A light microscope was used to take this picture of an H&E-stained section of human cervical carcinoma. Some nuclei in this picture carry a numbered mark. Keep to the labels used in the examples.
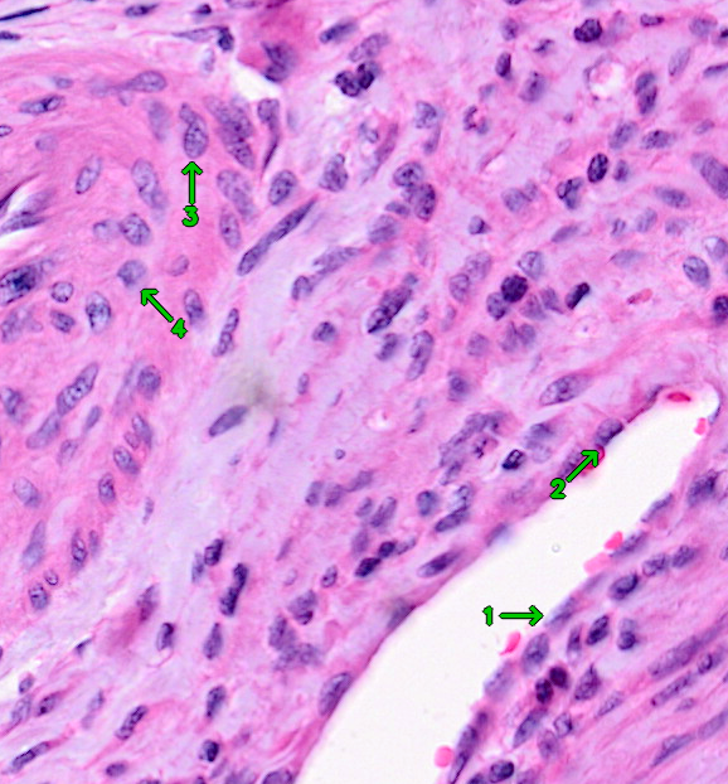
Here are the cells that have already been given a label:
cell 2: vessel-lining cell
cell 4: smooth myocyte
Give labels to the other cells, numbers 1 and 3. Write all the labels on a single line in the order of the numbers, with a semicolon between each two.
vessel-lining cell; smooth myocyte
